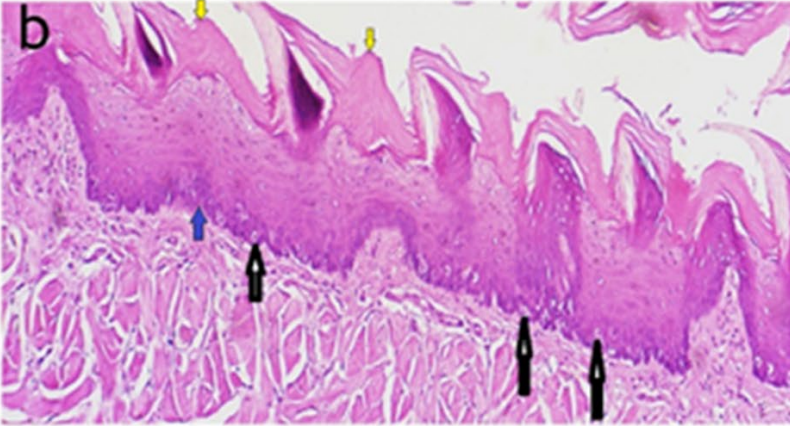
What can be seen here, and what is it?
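The stratified squamous epithelium of the dorsal tongue forms filiform papillae with pointed, deep pink keratinized tips, several of them capped by thick layers of keratin. The epithelium is markedly thickened, with a dense, dark purple, crowded basal layer resting on a flattened boundary with the underlying connective tissue. Pale cells lie scattered in the basal region near the connective tissue. Beneath the epithelium, pink skeletal muscle bundles cut in various planes fill the lower part of the field.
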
